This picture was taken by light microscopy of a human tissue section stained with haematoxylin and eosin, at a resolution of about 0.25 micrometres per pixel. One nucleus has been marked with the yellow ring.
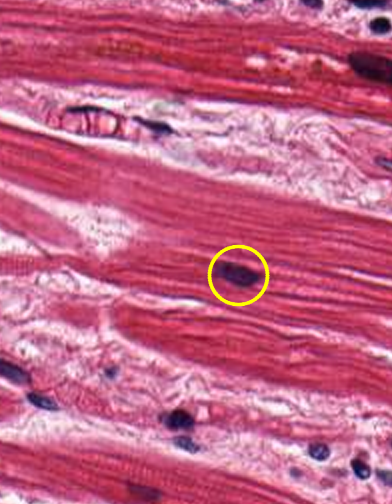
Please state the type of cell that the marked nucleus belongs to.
cardiomyocyte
